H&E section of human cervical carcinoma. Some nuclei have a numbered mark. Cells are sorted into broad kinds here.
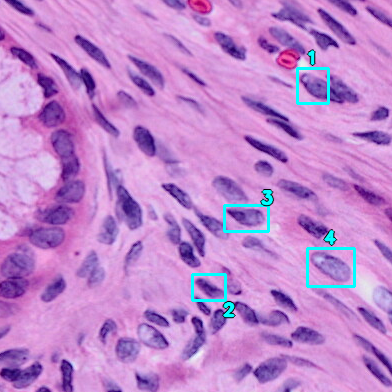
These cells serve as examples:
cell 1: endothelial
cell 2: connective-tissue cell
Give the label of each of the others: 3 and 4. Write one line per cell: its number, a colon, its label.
3: connective-tissue cell
4: endothelial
